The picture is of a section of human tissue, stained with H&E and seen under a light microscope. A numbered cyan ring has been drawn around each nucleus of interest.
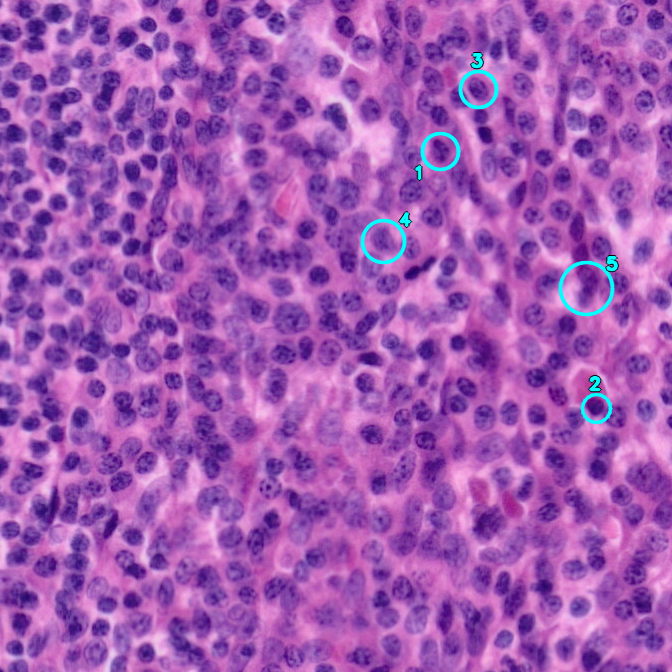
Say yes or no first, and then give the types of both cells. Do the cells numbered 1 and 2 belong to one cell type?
Yes, both are plasma cells.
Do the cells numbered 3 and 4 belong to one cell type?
No, cell 3 is a plasma cell and cell 4 is a squamous epithelial cell.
